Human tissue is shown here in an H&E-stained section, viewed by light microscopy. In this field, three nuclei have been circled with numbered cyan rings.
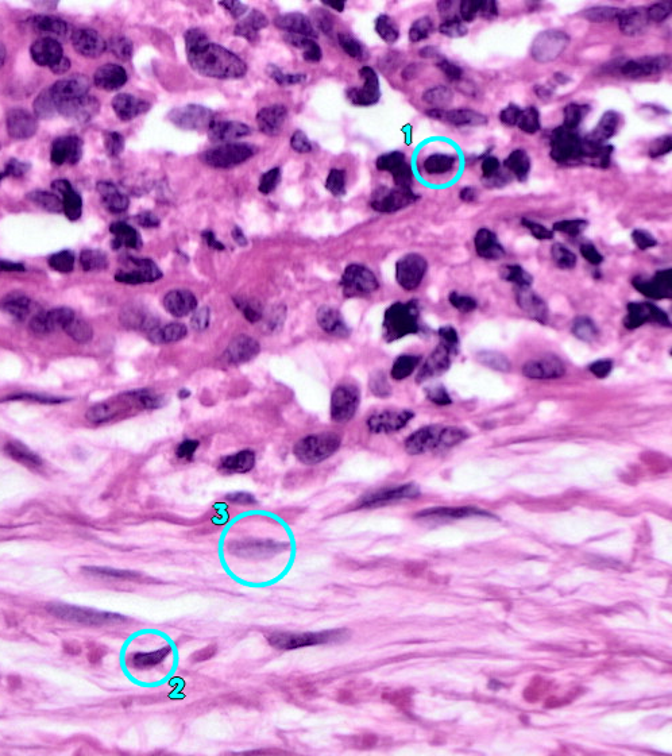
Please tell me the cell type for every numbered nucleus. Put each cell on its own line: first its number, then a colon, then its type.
1: carcinoma cell
2: fibroblast
3: fibroblast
